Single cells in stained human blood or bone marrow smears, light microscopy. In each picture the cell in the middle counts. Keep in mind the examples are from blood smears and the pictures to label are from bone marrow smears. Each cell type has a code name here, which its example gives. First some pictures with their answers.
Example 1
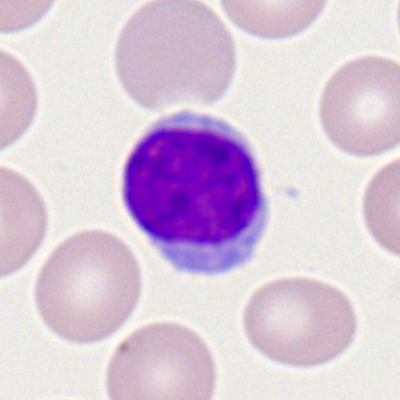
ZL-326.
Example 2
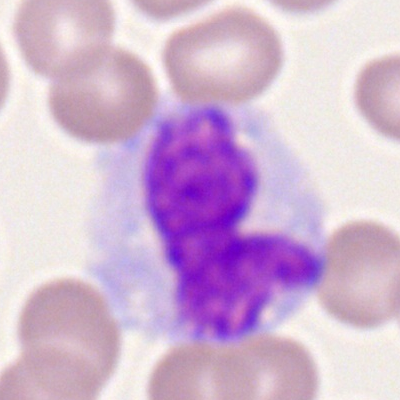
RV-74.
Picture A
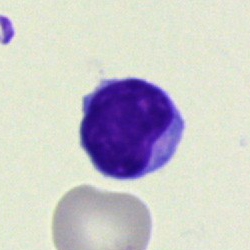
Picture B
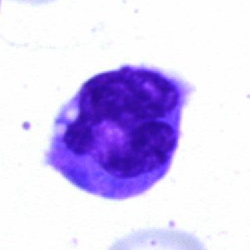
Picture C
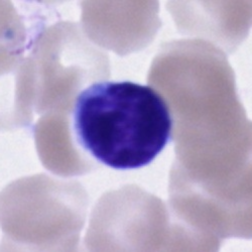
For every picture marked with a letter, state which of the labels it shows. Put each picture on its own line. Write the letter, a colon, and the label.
A: ZL-326.
B: RV-74.
C: ZL-326.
